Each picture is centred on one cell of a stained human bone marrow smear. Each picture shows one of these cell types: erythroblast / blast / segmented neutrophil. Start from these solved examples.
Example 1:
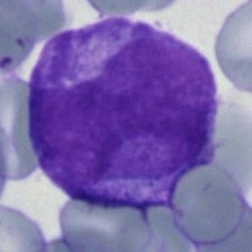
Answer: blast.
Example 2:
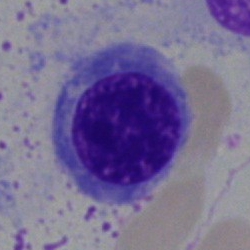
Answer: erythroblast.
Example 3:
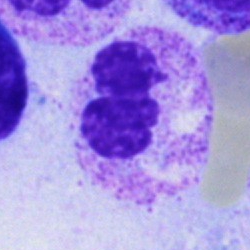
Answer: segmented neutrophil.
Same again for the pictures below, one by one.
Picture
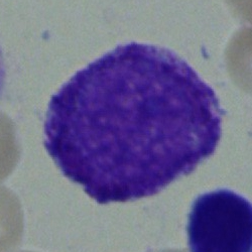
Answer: blast.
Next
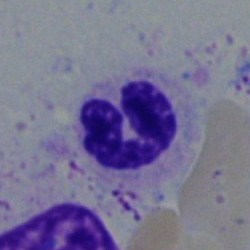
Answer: segmented neutrophil.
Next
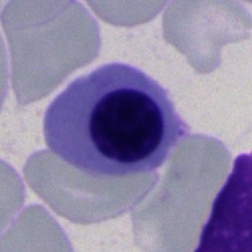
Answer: erythroblast.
